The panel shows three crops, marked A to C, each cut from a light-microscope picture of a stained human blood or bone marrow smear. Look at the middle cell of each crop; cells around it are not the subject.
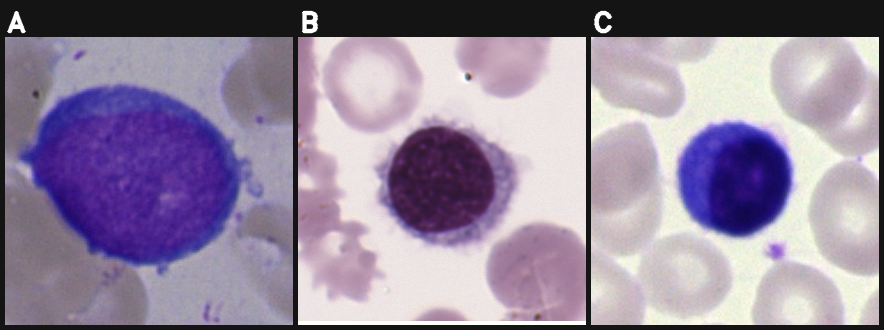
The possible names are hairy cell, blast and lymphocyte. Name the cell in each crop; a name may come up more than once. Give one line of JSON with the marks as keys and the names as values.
{"A": "blast", "B": "hairy cell", "C": "lymphocyte"}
